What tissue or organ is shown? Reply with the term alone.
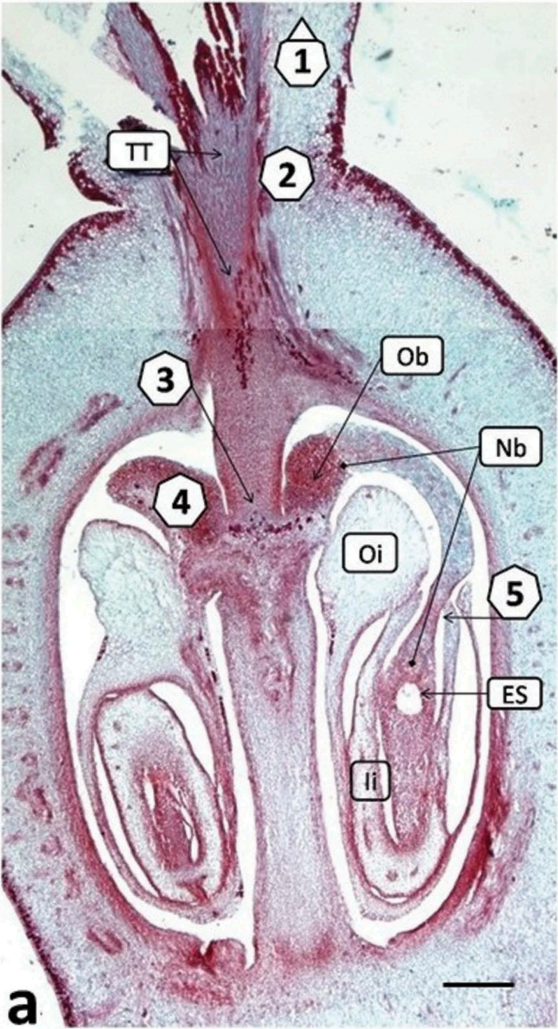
Pistil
